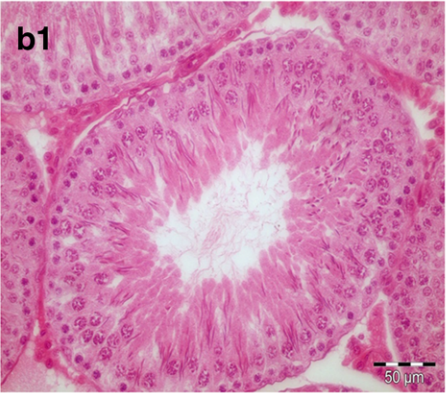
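This is a seminiferous tubule of the testis cut across, showing orderly spermatogenesis. A thin boundary surrounds the tubule, and from it many layers of cells with round purple nuclei pile up toward the centre. Nearer the lumen the cells become smaller and their heads elongate, gathered in radiating bundles that point inward. The central lumen is open and filled with pale, wispy threads, the tails of mature spermatids. Between neighbouring tubules lies a narrow band of interstitial tissue. The overall pattern is regular, with cells arranged in concentric layers from the edge to the lumen.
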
